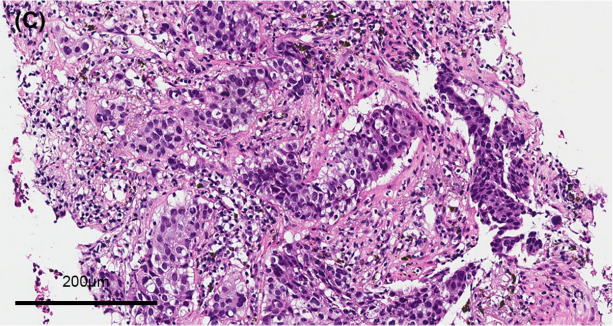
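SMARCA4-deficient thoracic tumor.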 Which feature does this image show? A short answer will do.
Nests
